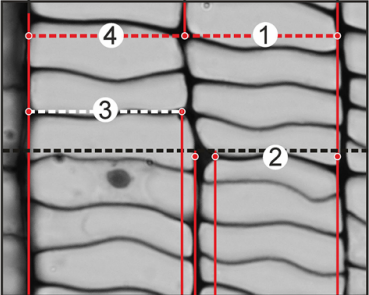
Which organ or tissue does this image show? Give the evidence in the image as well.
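Thin-walled, flattened rectangular cells stacked in regular radial files. Cells are much wider tangentially than radially. Files of cells are separated by thicker dark vertical walls.
Answer: vascular cambium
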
